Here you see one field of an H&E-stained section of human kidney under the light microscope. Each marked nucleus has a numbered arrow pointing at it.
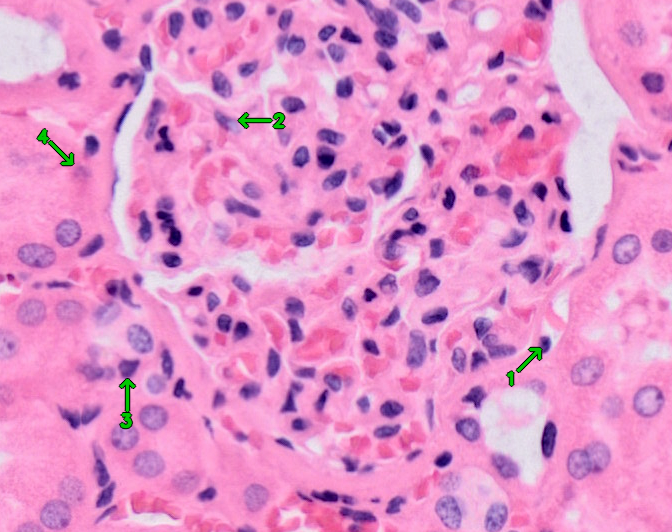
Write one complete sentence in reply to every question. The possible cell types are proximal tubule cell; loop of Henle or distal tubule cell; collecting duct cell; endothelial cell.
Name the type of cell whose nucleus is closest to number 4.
The cell nearest to number 4 is an endothelial cell.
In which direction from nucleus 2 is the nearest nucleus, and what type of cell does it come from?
Lying above nucleus 2, the nearest nucleus is that of an endothelial cell.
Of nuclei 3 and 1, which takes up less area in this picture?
Number 1 is smaller, since number 3 takes up about 2 times as much area.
